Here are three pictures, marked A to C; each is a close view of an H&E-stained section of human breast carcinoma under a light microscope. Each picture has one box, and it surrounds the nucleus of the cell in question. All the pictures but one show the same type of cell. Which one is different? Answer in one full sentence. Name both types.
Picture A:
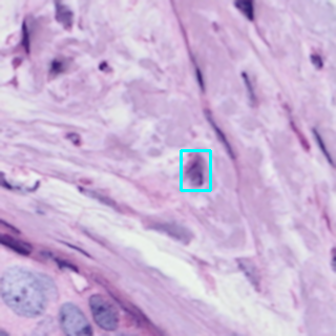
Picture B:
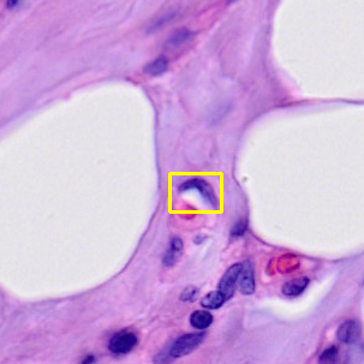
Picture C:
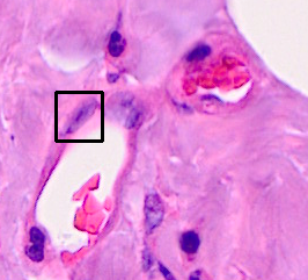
The others show endothelial cells, but picture A shows a fibroblast.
